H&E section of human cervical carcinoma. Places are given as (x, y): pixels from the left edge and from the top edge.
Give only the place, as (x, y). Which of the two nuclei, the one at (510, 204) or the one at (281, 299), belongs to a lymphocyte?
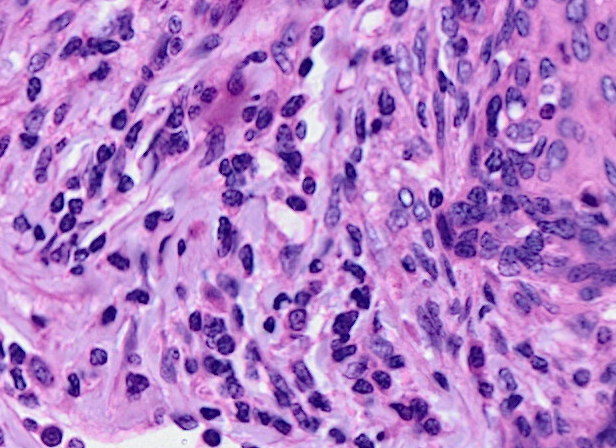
(281, 299)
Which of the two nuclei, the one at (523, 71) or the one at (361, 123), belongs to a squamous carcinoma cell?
(523, 71)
